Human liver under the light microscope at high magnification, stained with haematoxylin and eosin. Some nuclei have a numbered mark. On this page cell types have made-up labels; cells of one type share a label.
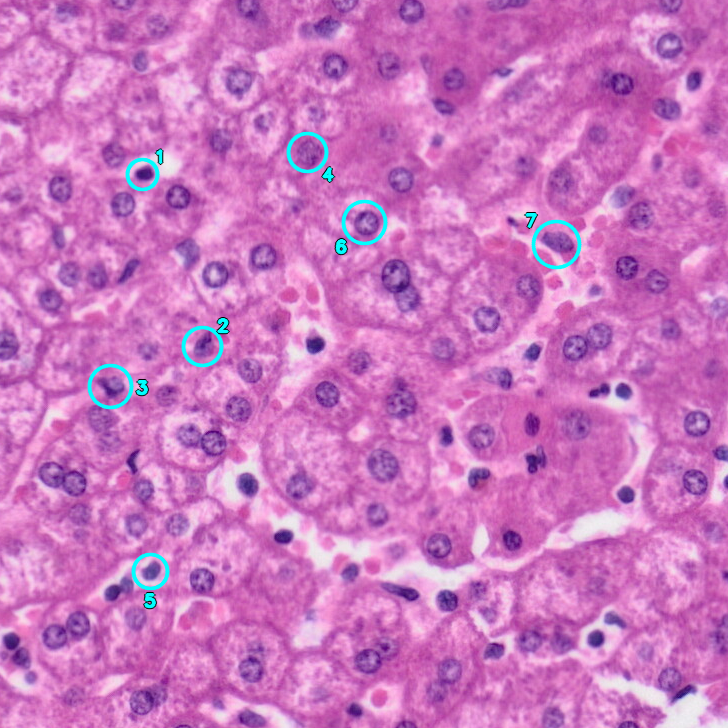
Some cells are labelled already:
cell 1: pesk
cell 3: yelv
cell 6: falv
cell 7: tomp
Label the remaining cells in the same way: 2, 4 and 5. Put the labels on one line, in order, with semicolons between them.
yelv; falv; pesk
